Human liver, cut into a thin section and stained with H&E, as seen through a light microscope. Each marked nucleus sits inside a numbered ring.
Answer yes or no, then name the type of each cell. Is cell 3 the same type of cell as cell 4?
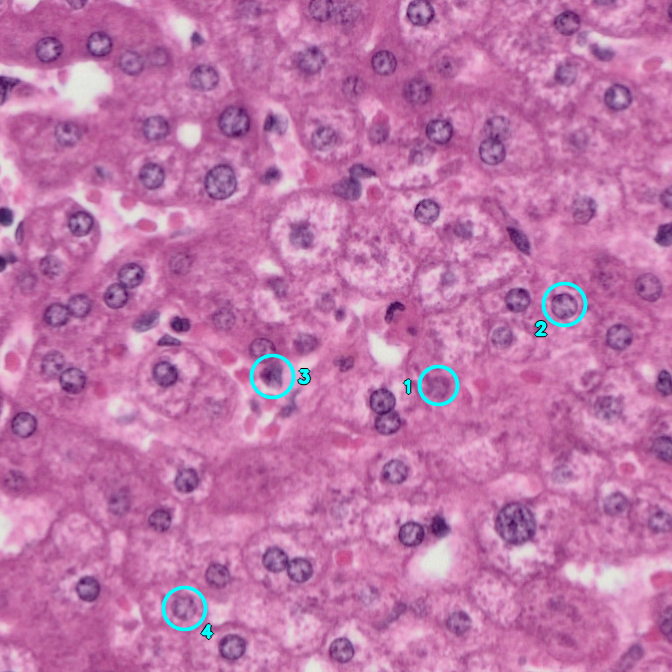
No, unlike cell 4, which is a hepatocyte, cell 3 is an endothelial cell.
